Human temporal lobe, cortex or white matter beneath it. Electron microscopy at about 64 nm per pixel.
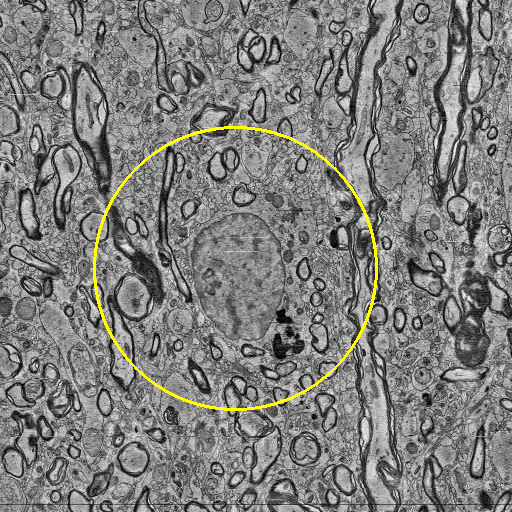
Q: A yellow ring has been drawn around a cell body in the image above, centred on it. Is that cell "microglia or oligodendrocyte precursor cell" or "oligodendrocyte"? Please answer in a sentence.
The ring surrounds the cell body of an oligodendrocyte.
